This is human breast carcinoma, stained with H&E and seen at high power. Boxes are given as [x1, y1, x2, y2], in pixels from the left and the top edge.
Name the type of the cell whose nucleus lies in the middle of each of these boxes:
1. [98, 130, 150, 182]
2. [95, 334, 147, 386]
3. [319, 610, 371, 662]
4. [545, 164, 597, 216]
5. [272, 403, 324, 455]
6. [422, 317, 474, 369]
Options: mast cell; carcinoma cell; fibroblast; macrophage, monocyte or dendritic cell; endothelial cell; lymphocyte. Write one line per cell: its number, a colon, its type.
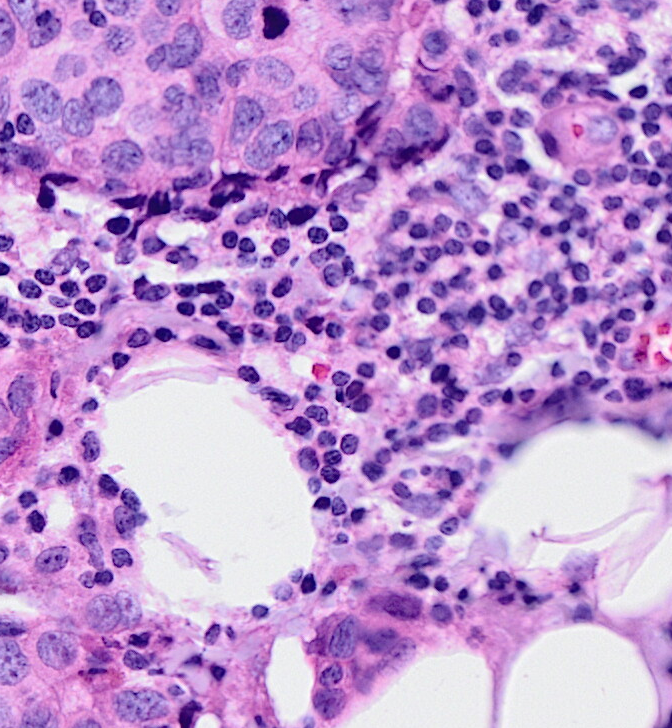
1: carcinoma cell
2: lymphocyte
3: carcinoma cell
4: lymphocyte
5: lymphocyte
6: lymphocyte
